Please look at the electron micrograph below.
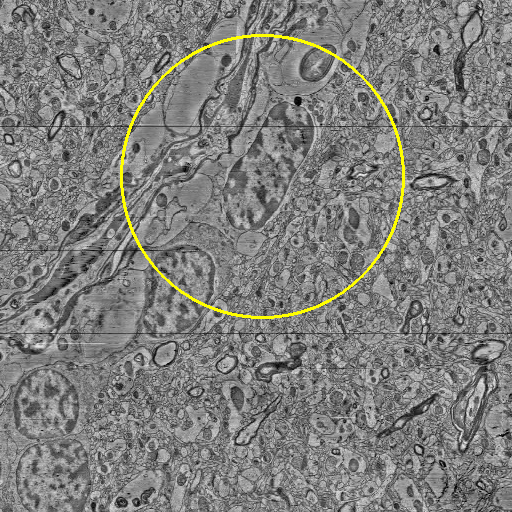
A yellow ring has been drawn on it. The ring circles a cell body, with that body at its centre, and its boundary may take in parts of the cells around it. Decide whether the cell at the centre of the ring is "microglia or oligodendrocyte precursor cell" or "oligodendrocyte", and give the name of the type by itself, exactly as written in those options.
microglia or oligodendrocyte precursor cell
